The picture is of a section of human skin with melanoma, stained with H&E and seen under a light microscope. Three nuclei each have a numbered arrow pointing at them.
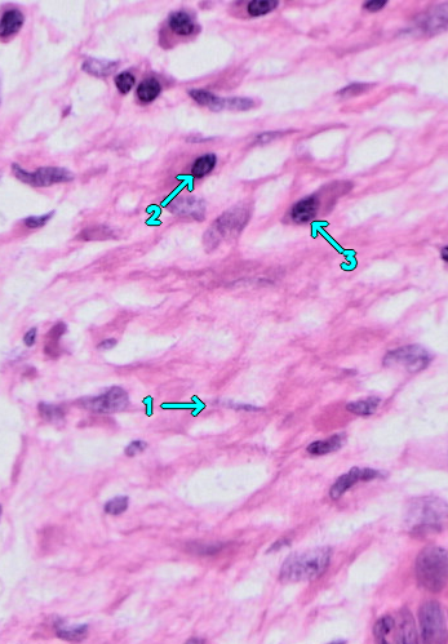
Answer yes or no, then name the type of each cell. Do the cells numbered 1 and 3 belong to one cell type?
No, cell 1 is a fibroblast or myofibroblast; as for cell 3, that one is a plasma cell.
